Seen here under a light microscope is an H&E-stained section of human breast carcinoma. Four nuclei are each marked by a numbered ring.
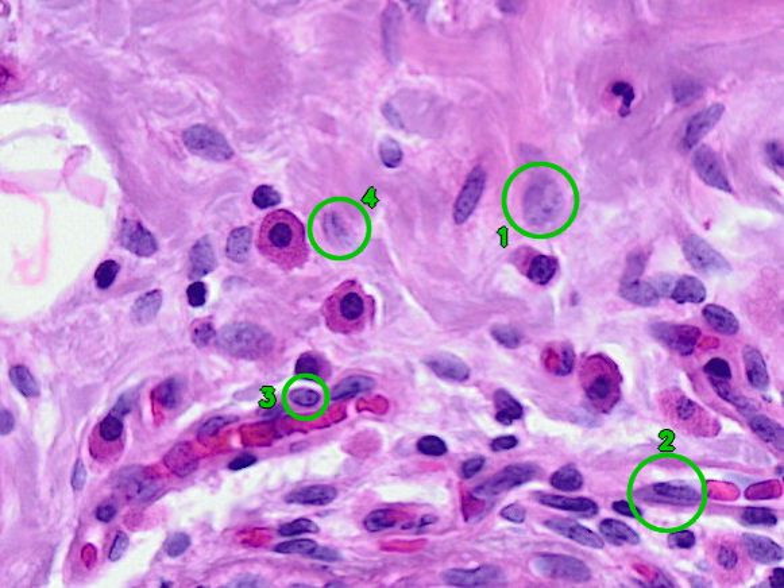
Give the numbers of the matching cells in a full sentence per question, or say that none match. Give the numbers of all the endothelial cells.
Marked by the numbers 2 and 3 are cells that are endothelial cells.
